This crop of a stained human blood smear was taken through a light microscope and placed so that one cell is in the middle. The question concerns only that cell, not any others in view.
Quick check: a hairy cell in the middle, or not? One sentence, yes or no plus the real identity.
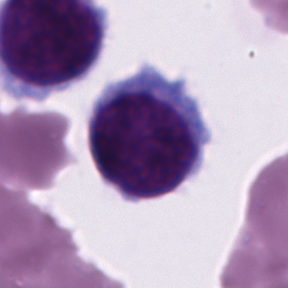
Yes, the cell at the heart of the crop is a hairy cell.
